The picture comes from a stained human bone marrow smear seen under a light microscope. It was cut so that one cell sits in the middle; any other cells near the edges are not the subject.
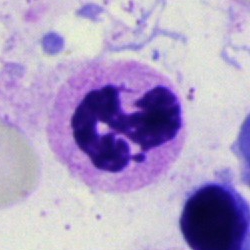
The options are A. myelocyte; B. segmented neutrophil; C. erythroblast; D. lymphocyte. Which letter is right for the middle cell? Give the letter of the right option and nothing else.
B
